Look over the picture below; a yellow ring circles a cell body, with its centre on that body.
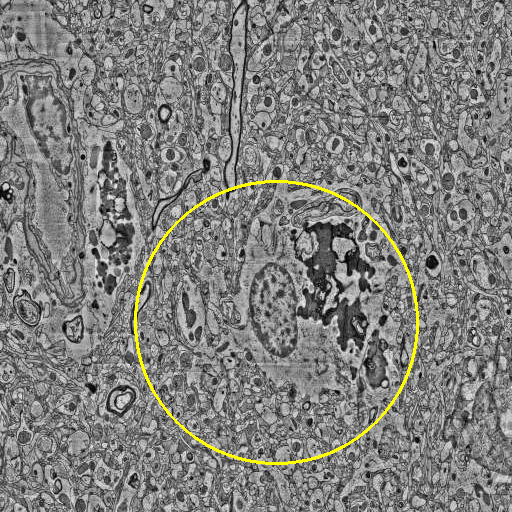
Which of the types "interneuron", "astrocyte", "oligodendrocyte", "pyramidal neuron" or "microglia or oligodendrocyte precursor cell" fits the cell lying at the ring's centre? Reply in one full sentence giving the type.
The picture shows an astrocyte at the centre of the yellow ring.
